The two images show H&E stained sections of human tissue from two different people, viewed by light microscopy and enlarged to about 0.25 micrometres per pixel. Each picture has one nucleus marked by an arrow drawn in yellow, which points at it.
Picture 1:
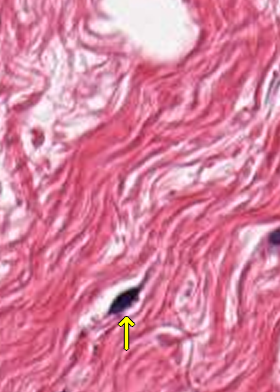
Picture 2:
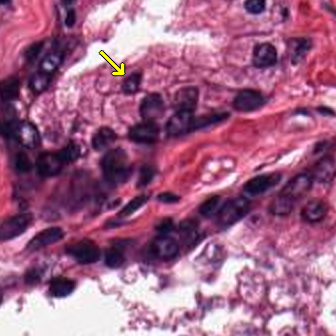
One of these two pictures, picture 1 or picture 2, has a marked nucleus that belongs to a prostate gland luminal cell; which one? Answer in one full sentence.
Nowhere but in picture 2 does the marked nucleus belong to a prostate gland luminal cell.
